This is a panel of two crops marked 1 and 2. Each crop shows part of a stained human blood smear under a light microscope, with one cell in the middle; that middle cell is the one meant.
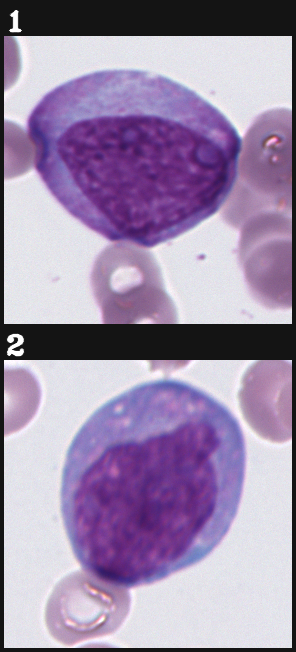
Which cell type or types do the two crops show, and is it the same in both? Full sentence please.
Yes, at the centre of both crops are atypical promyelocytes.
